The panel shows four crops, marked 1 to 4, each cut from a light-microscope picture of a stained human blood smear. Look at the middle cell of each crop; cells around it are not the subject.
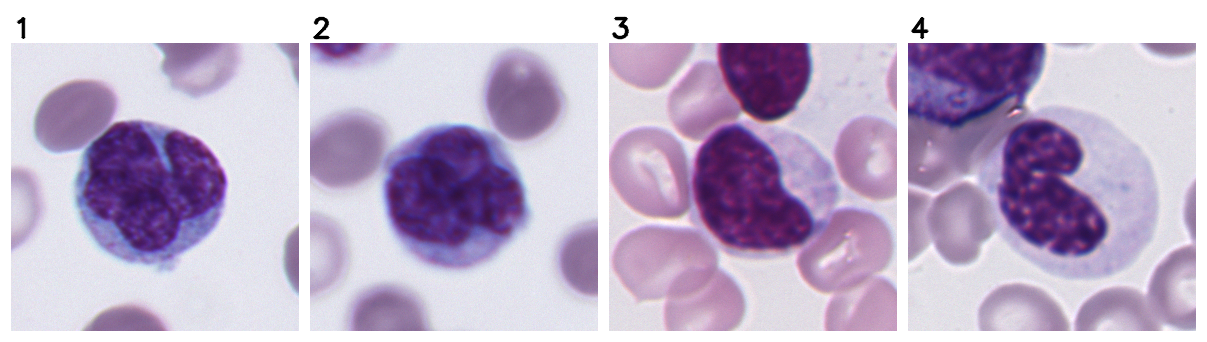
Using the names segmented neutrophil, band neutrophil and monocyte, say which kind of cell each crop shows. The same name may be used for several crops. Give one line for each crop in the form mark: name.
1: monocyte
2: monocyte
3: band neutrophil
4: band neutrophil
